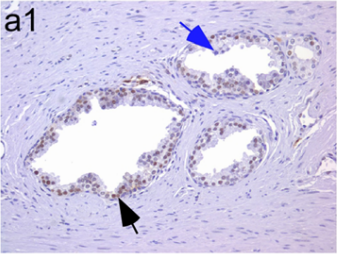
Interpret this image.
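This is benign prostate tissue with several glands having wide, open lumens lined by a regular layer of epithelial cells and surrounded by pale fibromuscular stroma with spindle-shaped nuclei. Many epithelial nuclei are stained brown while the cytoplasm remains pale; one smaller gland shows little brown staining.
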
